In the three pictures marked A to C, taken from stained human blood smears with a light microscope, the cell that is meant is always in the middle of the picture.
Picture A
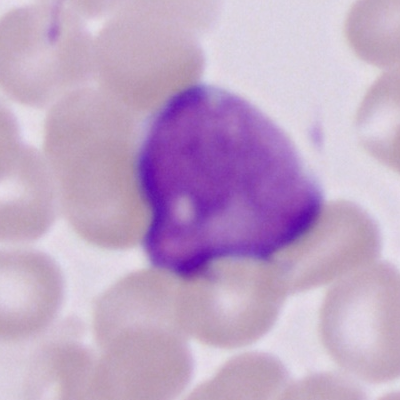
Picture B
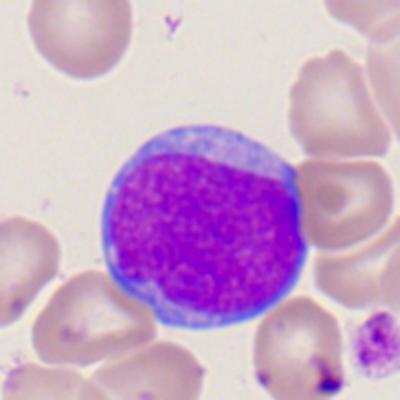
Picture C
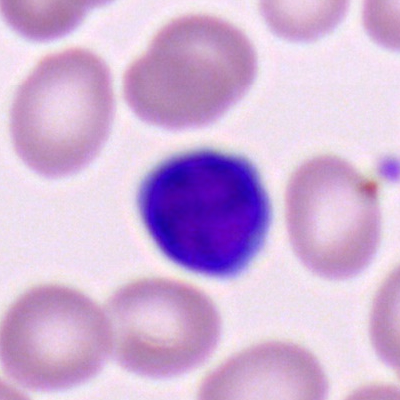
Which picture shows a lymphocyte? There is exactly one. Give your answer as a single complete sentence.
The cell in picture C is the lymphocyte.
